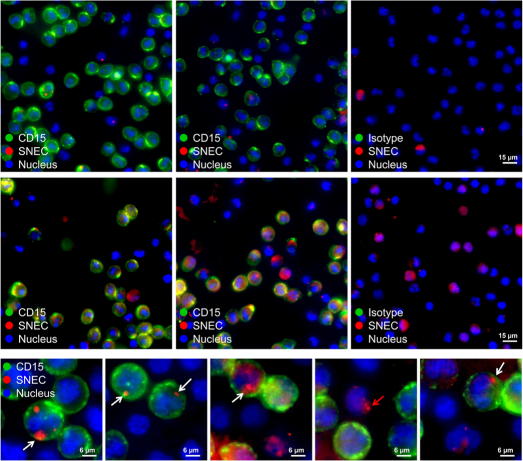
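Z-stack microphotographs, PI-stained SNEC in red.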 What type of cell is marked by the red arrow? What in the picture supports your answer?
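Mononuclear phagocyte. The cell at the red arrow lacks the green surface ring of its neighbours. Red material lies inside the cell at the red arrow.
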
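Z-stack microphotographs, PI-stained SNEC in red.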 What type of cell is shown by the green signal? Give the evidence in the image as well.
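Neutrophils. Green rings outline the surface of many round cells.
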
